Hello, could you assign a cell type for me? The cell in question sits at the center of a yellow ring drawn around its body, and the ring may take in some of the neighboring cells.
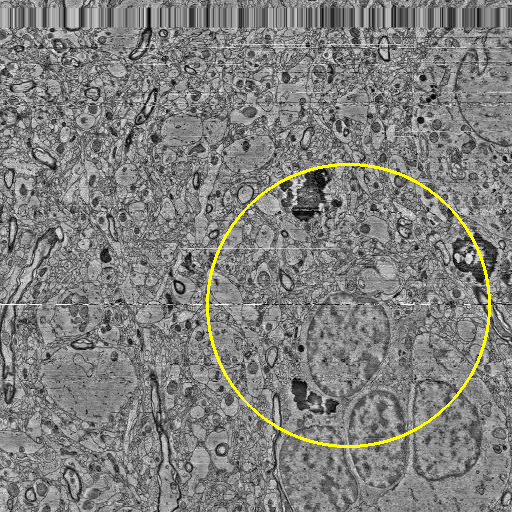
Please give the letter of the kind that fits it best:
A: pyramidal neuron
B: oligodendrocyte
B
